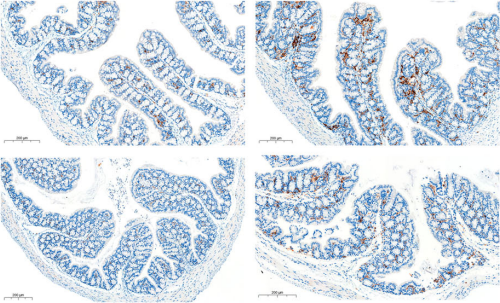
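Four views of colonic mucosa show folds lined by straight tubular crypts cut in various planes, with a thin muscular wall at the edge. The crypts are lined by columnar epithelium containing many pale, mucus-filled goblet cells, and their nuclei are stained blue. Between the crypts lies the lamina propria, in which scattered small cells carry a brown stain. In two of the views these brown cells are far more numerous and gather in clusters along the lamina propria between crypts, while in the other two only a few are present.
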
